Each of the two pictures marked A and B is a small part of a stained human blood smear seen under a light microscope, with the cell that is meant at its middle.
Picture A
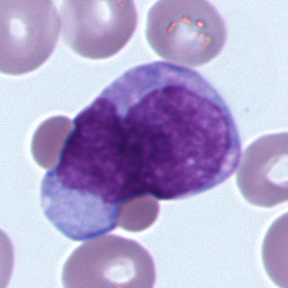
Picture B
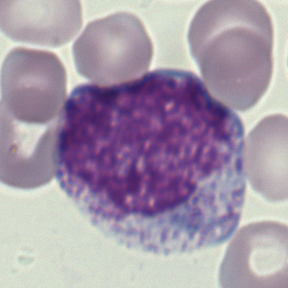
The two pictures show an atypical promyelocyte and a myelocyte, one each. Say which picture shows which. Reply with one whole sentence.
Picture B shows a myelocyte, while picture A shows an atypical promyelocyte.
